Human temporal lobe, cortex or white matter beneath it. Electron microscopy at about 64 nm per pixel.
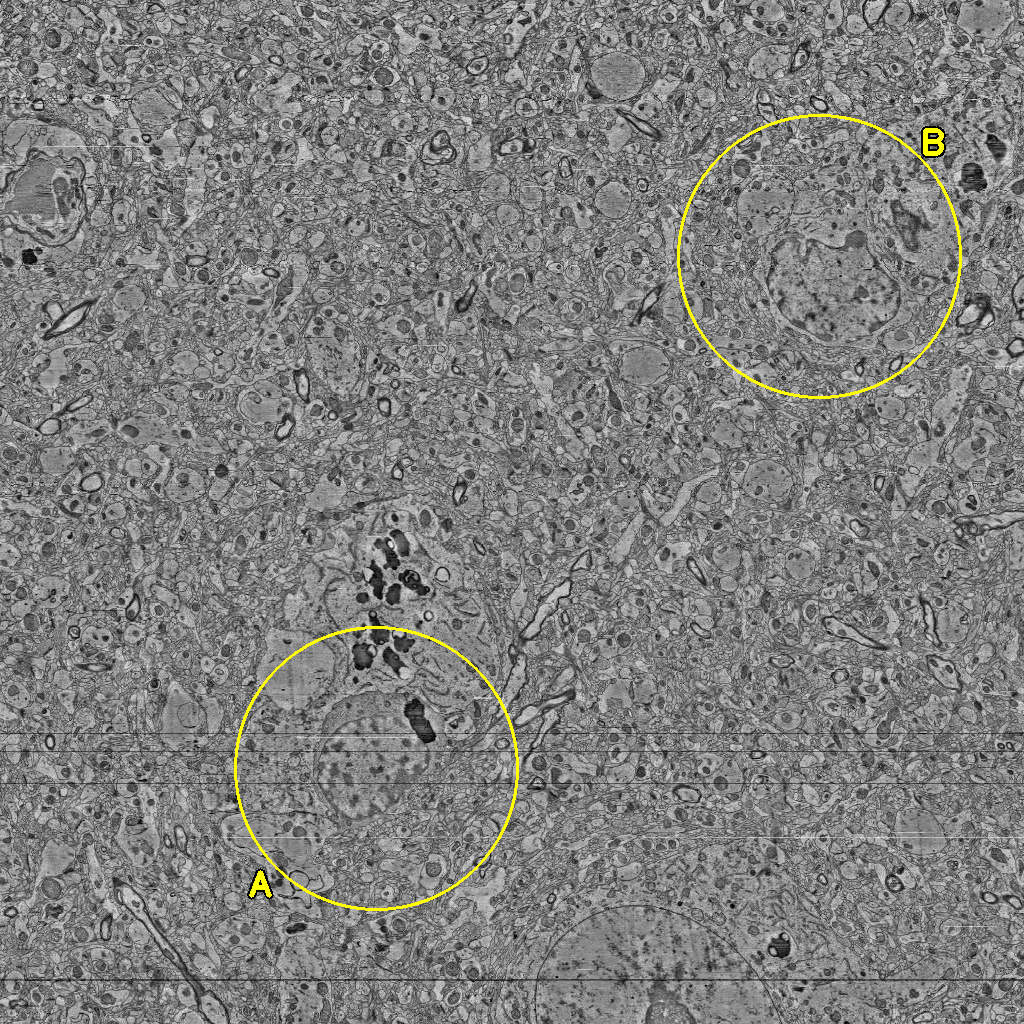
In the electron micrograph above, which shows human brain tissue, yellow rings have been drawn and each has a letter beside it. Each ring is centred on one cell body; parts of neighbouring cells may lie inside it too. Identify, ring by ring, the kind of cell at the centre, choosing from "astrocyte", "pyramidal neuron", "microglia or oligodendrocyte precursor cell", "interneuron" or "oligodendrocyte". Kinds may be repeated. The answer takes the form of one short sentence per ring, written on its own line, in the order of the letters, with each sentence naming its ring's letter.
Inside ring A, at its centre, is an oligodendrocyte.
Inside ring B, at its centre, is a microglial cell or oligodendrocyte precursor cell.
